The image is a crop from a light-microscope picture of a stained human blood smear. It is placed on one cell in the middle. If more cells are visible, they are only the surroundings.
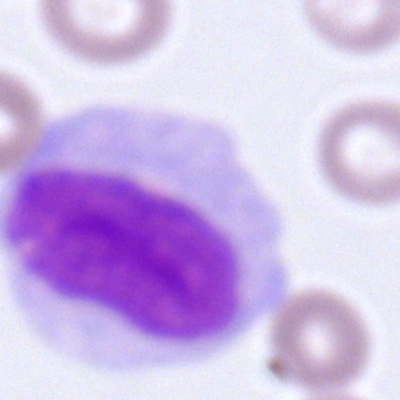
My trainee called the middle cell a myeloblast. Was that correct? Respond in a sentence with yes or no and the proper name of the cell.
No, the cell occupying the centre is a monocyte, not a myeloblast.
